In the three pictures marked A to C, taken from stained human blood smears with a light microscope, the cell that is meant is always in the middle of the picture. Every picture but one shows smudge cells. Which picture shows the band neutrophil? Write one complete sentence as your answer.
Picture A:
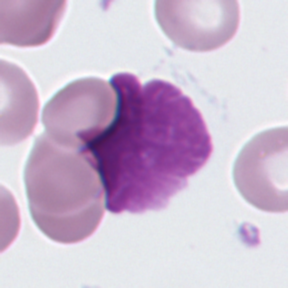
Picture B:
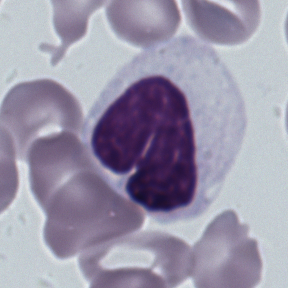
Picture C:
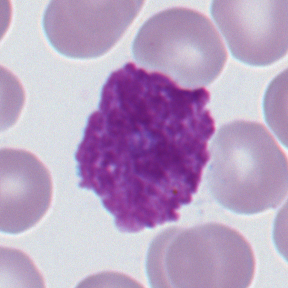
The cell in picture B is the band neutrophil.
